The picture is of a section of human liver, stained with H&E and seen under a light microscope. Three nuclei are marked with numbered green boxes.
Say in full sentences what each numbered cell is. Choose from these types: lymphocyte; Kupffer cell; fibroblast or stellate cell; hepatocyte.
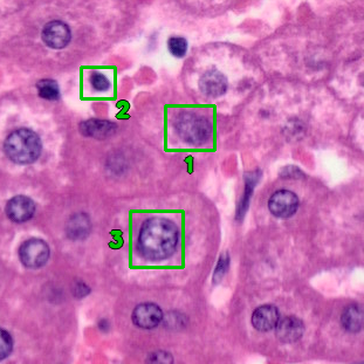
Cell 1 is a hepatocyte, cell 2 is a lymphocyte and cell 3 is a hepatocyte.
